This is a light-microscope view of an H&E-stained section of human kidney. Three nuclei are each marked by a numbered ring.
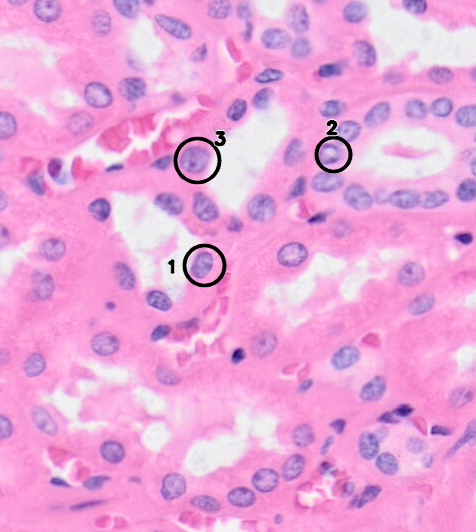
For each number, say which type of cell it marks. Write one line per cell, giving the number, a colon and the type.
1: loop of Henle or distal tubule cell
2: collecting duct cell
3: loop of Henle or distal tubule cell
